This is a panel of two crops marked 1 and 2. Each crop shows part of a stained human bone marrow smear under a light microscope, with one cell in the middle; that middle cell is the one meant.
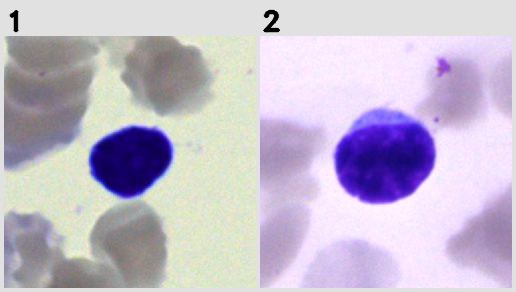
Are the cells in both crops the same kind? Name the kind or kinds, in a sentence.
Yes, lymphocytes are seen in both crops.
